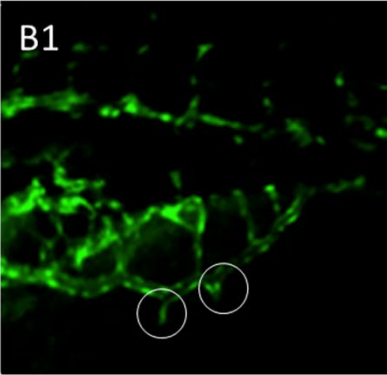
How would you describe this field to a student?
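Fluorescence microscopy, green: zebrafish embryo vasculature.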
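An upper horizontal vessel with a beaded outline runs across the top. Below it an irregular network of thinner vessels forms loops of uneven size, denser and more tangled on the left. From the lower vessels short, blind-ended branches project outward, ending in small tips without connecting to other vessels. The vessel walls look uneven, with bright thickenings along their length, and the spaces between the loops are dark.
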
